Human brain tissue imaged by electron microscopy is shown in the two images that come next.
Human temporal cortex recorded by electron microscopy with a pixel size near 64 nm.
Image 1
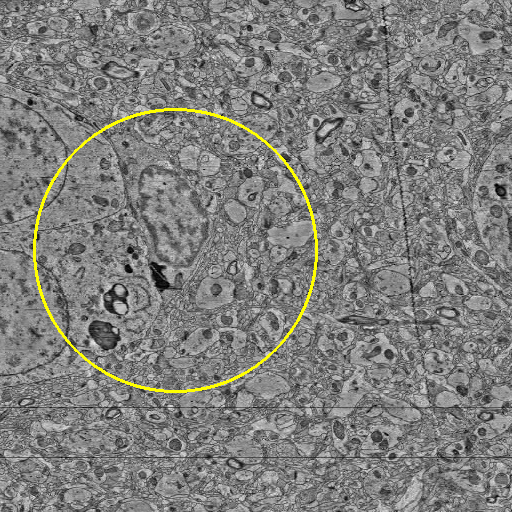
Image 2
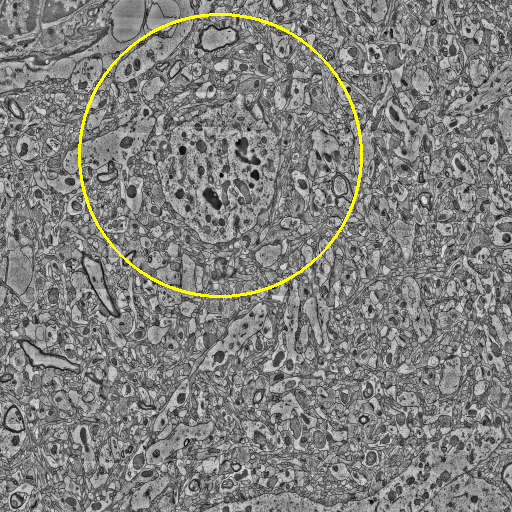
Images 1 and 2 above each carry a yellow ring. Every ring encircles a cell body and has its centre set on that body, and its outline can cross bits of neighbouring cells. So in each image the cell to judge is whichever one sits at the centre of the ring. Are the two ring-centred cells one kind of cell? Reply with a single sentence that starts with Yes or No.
No, in Image 1 and Image 2 the cells at the centres of their rings fall into two types.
